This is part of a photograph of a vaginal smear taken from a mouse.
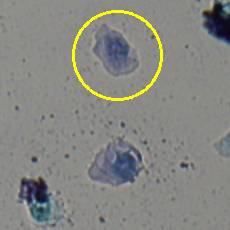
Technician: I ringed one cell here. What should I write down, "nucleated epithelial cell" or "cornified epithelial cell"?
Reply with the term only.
nucleated epithelial cell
